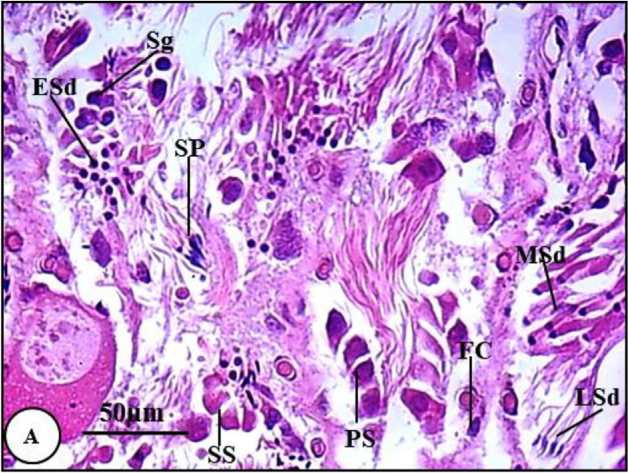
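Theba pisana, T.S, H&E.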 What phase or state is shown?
Spermatogenesis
